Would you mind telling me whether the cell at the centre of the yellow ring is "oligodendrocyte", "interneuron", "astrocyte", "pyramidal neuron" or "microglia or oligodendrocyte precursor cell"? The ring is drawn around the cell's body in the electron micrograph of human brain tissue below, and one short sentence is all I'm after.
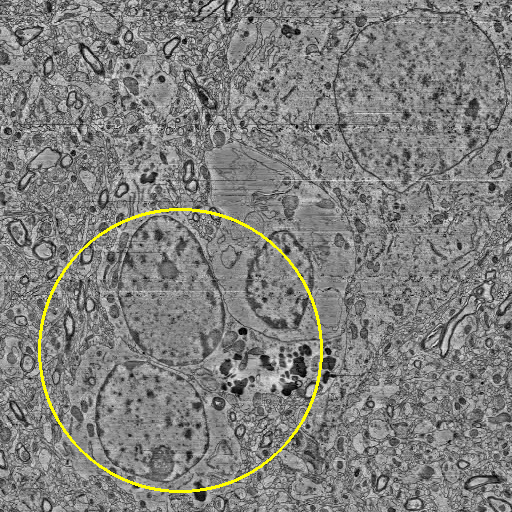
In the centre of the ring lies an astrocyte.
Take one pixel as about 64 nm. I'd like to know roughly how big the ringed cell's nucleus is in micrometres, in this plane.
The nucleus is about 10 micrometres in length and 6 in width, clearly longer than it is wide in this plane.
